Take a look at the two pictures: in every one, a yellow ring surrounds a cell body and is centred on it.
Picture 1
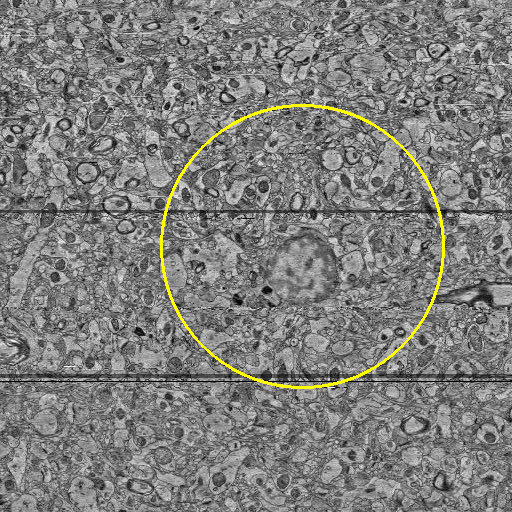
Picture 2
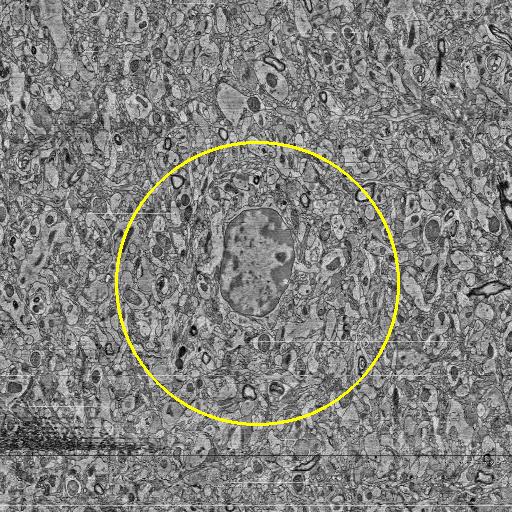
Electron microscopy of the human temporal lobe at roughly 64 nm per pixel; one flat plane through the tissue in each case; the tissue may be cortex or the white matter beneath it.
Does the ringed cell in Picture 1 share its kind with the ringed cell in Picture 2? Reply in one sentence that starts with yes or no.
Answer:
No, the two centred cells, one per picture, are of two kinds.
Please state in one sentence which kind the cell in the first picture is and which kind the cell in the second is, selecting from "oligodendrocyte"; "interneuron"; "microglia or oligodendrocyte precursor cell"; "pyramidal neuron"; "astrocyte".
The first ringed cell is an oligodendrocyte, the second ringed cell a microglial cell or oligodendrocyte precursor cell.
